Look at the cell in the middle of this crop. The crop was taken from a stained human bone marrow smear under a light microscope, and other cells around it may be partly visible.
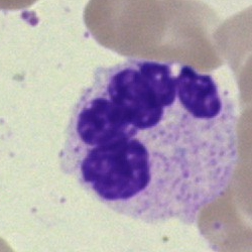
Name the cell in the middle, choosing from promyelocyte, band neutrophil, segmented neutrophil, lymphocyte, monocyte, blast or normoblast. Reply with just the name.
segmented neutrophil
